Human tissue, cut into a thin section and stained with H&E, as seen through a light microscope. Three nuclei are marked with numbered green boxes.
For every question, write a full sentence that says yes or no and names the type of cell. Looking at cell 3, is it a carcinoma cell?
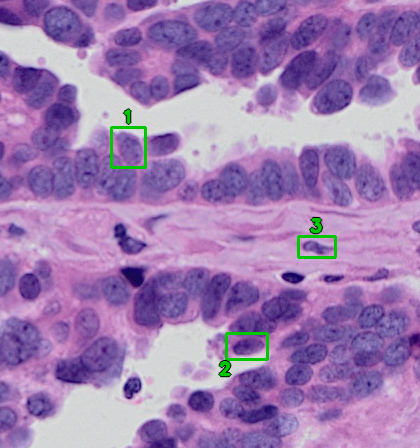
No, the correct answer for cell 3 is a fibroblast, not a carcinoma cell.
